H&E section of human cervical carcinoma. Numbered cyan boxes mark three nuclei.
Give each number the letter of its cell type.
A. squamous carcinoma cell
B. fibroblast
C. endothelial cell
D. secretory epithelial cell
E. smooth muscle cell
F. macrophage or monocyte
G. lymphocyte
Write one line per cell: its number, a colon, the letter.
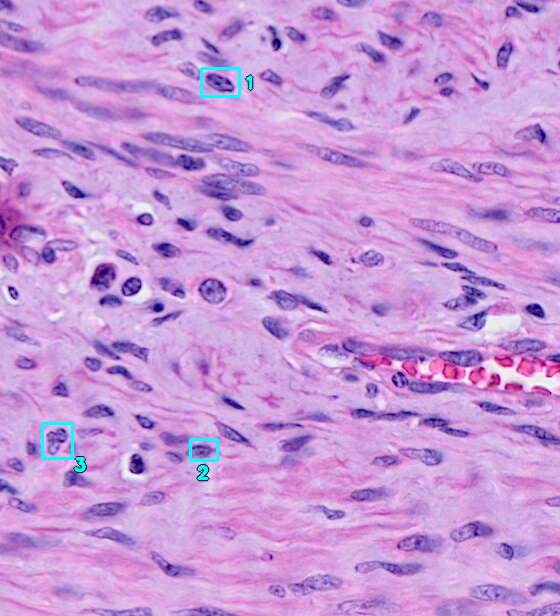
1: G
2: E
3: G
